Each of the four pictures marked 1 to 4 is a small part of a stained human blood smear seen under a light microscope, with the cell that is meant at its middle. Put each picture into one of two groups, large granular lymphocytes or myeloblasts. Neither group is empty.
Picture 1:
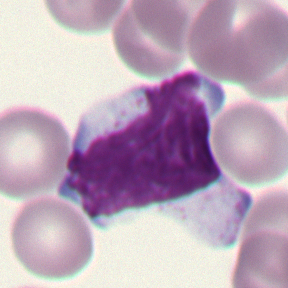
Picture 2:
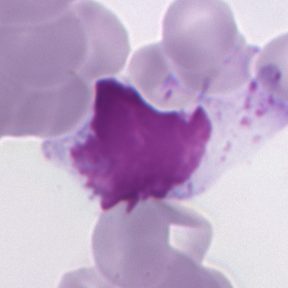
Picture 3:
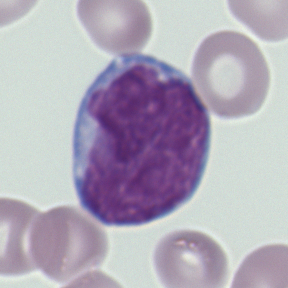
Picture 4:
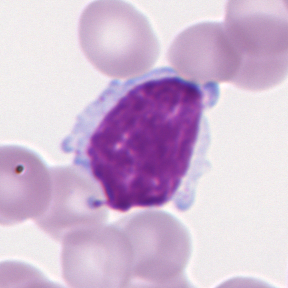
1: large granular lymphocyte
2: large granular lymphocyte
3: myeloblast
4: large granular lymphocyte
